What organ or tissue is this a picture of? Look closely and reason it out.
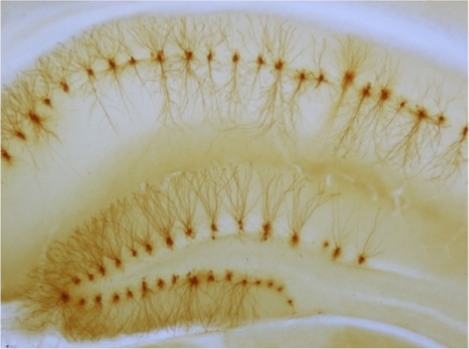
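Labelled cell bodies lie in long curved rows, one arched row above and two rows below. The lower rows follow a curved, blade-like band. Dendrites branch off the cell bodies perpendicular to the rows.
Answer: hippocampus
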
